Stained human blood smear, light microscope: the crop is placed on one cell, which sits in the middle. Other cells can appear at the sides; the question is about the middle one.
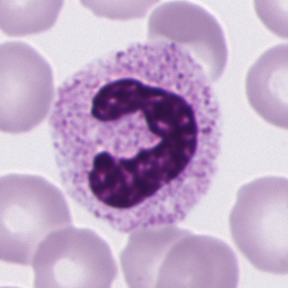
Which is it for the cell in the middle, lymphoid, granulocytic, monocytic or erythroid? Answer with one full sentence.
The lineage to which the central cell belongs is granulocytic.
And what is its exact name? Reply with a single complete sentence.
The cell at the heart of this crop is a segmented neutrophil.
